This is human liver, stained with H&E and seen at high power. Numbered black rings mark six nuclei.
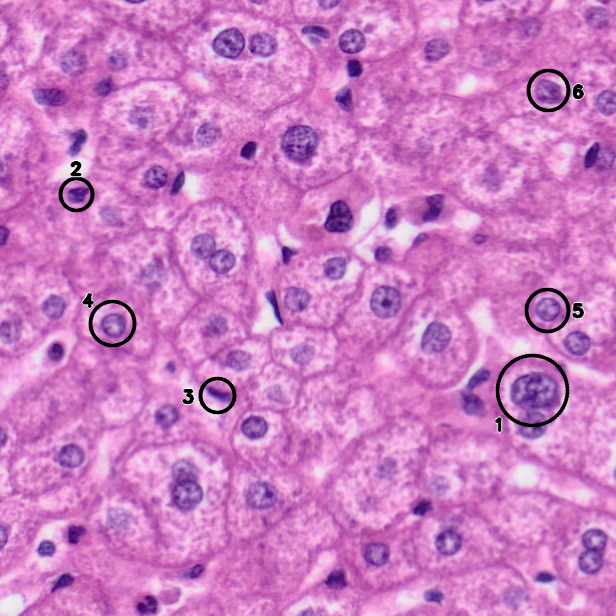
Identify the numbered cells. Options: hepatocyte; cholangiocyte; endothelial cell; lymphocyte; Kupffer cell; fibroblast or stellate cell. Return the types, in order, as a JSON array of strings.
["hepatocyte", "fibroblast or stellate cell", "endothelial cell", "hepatocyte", "hepatocyte", "hepatocyte"]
